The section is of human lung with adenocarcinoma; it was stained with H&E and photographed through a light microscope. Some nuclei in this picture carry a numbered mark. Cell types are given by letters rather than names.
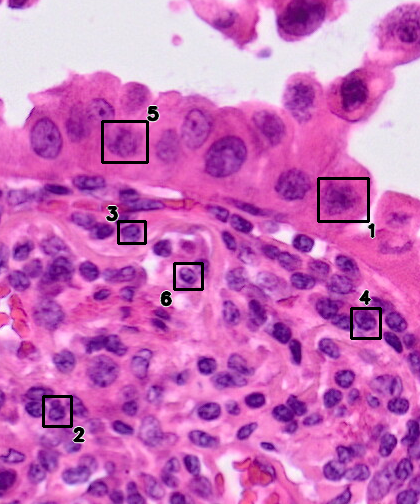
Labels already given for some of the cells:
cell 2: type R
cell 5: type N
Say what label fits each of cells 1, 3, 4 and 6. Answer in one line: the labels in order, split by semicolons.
type N; type R; type R; type R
